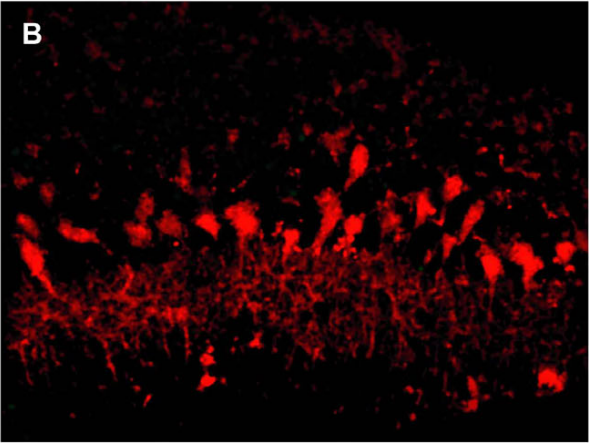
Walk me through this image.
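These are Purkinje cells, and the first thing to notice is how their bodies line up in a single row across the field. Each cell body is large and flask- or pear-shaped and filled evenly with red. From the lower pole of most cells a stout process runs downward and quickly branches, and together these branches make a dense band of fine red fibres beneath the row of cell bodies. Above the row there is only scattered, speckled red. A few smaller red bodies sit lower down, below the fibre band.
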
